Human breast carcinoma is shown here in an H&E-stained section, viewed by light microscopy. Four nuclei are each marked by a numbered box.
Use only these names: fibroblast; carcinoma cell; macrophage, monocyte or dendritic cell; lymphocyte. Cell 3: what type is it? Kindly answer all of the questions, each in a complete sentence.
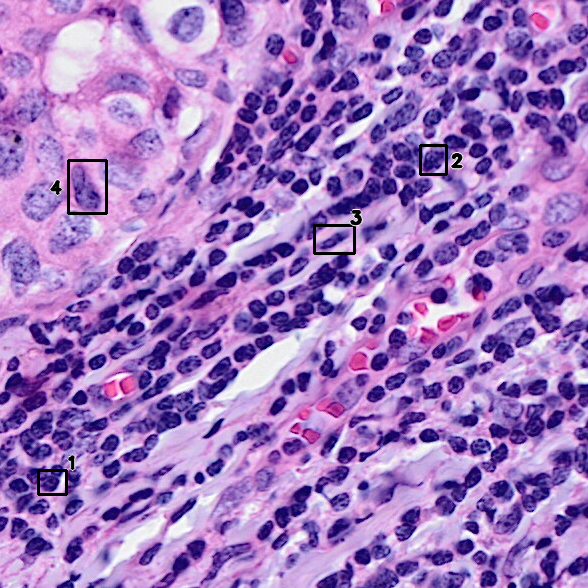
The cell tagged with 3 in this tissue section is a lymphocyte.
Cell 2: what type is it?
The label 2 in this section denotes a lymphocyte.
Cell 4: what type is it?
Cell 4 of the marked set is a carcinoma cell.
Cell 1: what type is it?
The cell marked with number 1 is a lymphocyte.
